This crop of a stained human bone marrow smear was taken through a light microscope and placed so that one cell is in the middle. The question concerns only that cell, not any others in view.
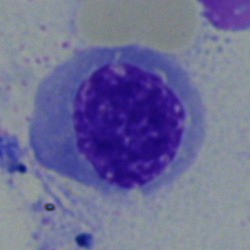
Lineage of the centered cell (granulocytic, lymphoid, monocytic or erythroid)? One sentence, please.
The lineage represented by the central cell is erythroid.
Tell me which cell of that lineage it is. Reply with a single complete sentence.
The cell sitting right in the middle is an erythroblast.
